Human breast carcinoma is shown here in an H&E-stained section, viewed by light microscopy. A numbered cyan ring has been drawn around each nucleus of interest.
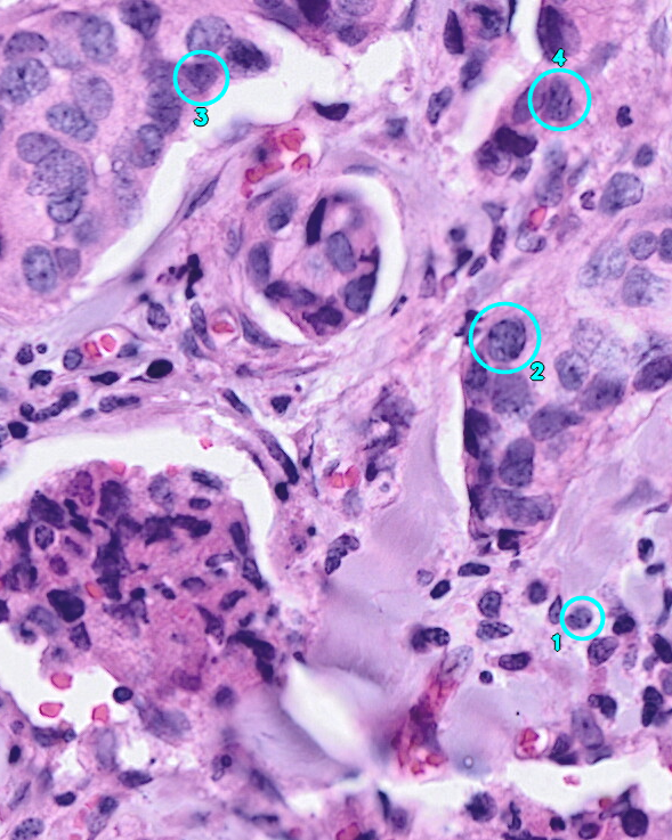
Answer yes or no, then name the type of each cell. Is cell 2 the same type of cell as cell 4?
Yes, both of the cells numbered 2 and 4 are carcinoma cells.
